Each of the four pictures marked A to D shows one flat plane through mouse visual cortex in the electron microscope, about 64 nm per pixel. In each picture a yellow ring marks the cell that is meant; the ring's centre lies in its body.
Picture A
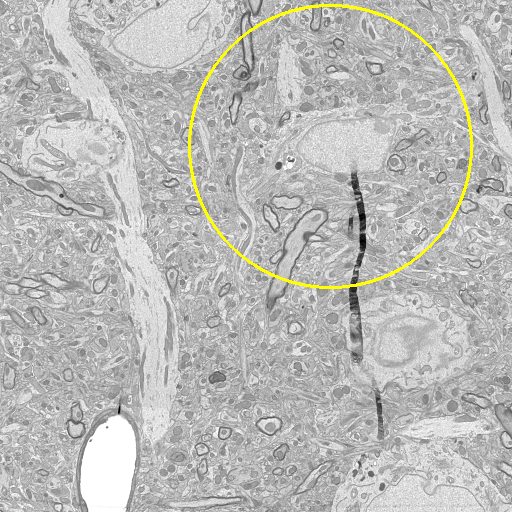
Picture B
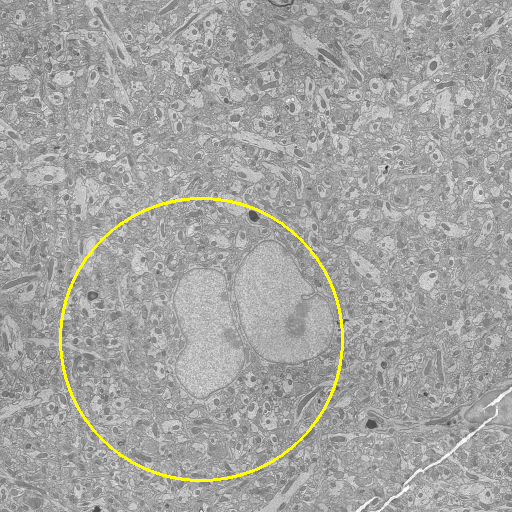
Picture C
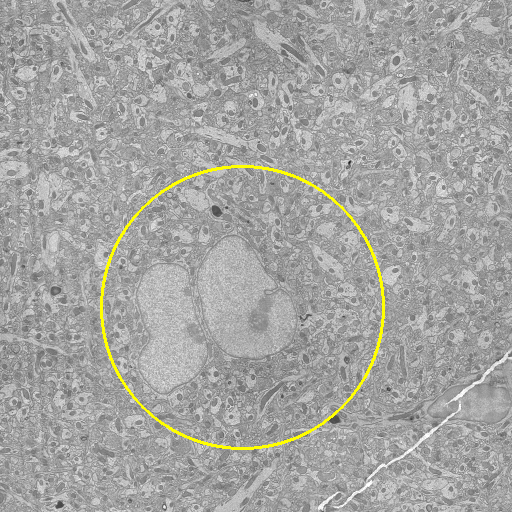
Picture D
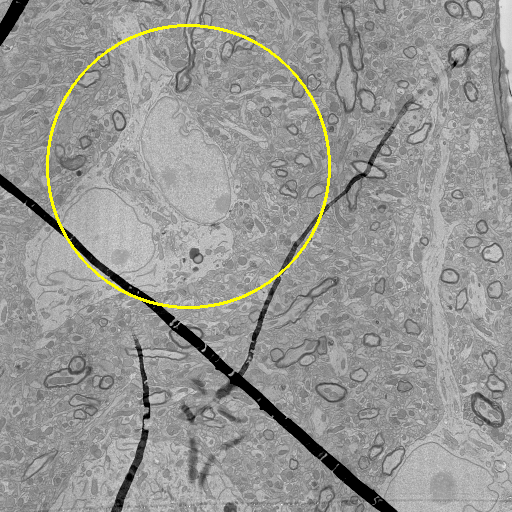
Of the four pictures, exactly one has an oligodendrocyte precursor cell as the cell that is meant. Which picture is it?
Picture D is the one that shows the oligodendrocyte precursor cell.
